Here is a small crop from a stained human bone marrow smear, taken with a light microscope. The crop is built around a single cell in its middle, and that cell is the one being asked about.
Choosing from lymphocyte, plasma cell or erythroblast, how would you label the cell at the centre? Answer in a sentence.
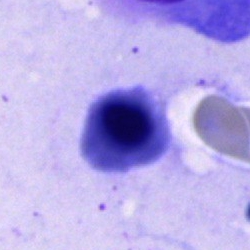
Present in the middle of the crop is an erythroblast.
